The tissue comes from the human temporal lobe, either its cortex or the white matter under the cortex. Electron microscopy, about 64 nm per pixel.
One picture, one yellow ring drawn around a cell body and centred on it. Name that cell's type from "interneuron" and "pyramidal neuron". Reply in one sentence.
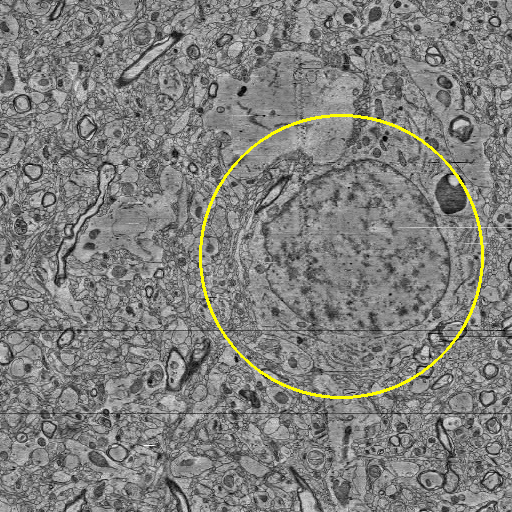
Centred in the ring is an interneuron.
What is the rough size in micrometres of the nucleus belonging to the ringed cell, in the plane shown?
The nucleus appears about 12 micrometres across in this plane.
